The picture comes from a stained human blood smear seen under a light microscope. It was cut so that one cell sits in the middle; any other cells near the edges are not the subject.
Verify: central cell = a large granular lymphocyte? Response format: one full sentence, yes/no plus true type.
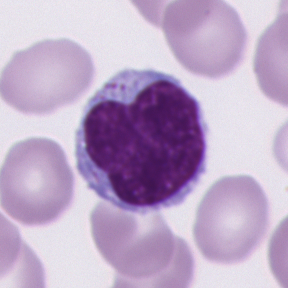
No, the cell at the centre of the crop corresponds to a typical lymphocyte, not a large granular lymphocyte.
